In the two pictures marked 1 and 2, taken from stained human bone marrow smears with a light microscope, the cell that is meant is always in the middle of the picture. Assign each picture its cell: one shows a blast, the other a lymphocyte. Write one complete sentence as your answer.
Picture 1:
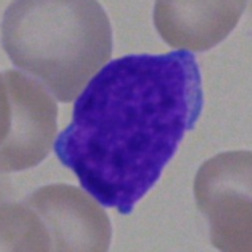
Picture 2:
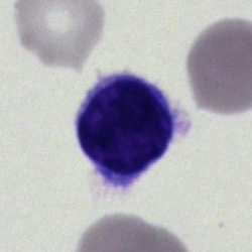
Picture 1 shows a blast and picture 2 shows a lymphocyte.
